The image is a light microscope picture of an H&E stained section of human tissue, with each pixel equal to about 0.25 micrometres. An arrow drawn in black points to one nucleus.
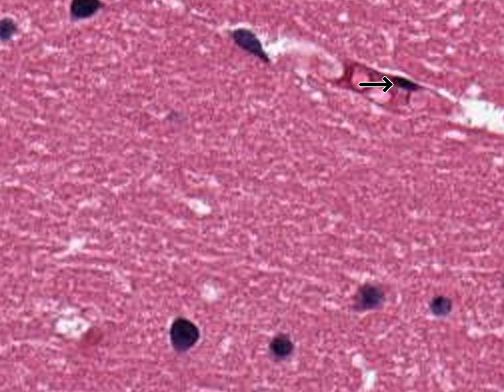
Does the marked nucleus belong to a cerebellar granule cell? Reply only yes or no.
no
